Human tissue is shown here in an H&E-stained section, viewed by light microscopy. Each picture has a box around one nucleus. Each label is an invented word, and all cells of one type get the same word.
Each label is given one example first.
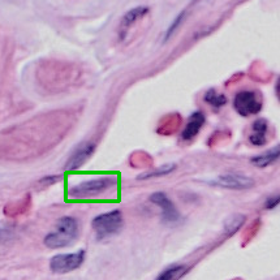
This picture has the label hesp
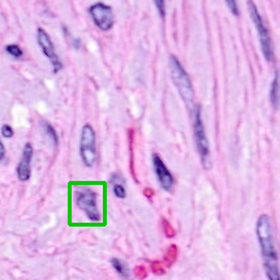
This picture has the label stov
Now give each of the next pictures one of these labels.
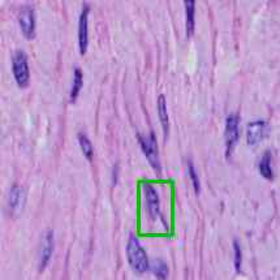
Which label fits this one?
stov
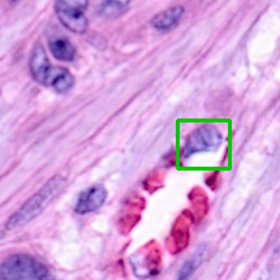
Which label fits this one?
hesp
